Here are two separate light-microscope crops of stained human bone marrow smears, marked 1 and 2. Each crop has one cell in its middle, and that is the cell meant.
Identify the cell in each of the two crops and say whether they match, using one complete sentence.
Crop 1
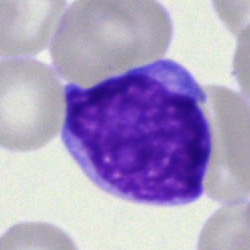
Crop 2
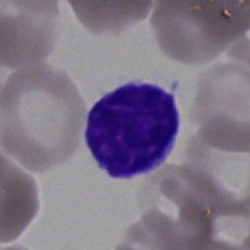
No, crop 1 matches a blast and crop 2 matches a lymphocyte.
